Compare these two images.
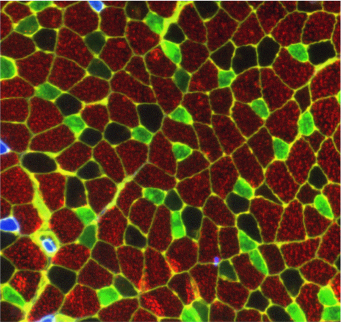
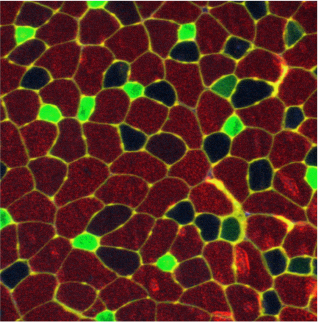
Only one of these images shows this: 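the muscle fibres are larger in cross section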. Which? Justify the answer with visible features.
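First image: many small polygonal fibres crowd the field. Second image: fewer, larger polygonal fibres fill a field of the same size. That points to this answer: the second image.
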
